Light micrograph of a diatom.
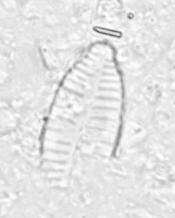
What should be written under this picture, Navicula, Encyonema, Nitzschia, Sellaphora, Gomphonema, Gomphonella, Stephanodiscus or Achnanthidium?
Gomphonema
